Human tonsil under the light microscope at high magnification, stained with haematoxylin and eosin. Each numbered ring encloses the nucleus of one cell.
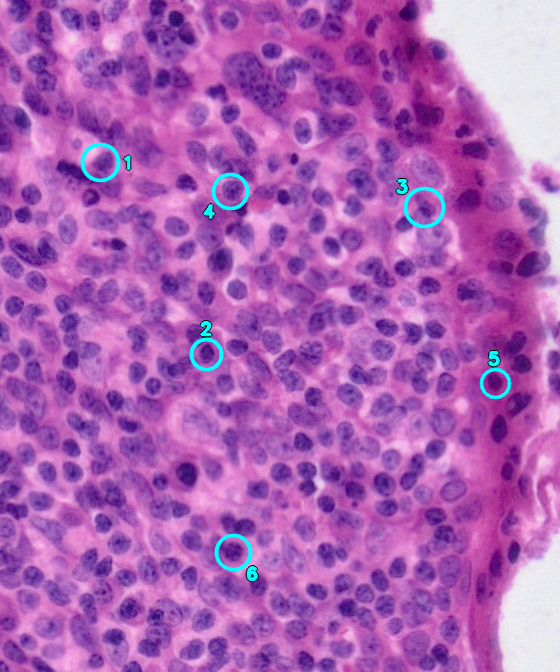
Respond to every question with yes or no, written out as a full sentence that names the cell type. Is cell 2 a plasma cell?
Yes, the cell with number 2 is a plasma cell.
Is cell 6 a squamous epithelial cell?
No, calling cell 6 a squamous epithelial cell is incorrect; it is a plasma cell.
